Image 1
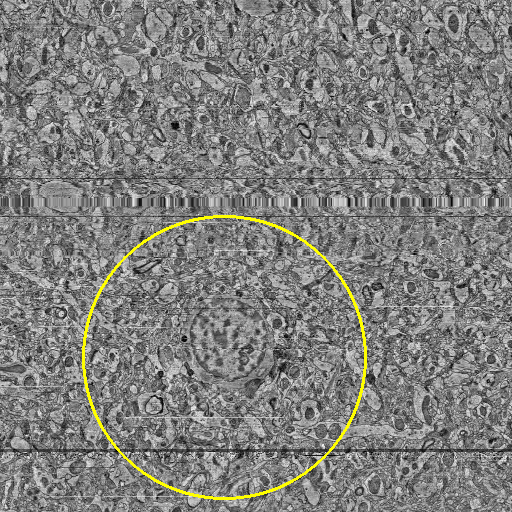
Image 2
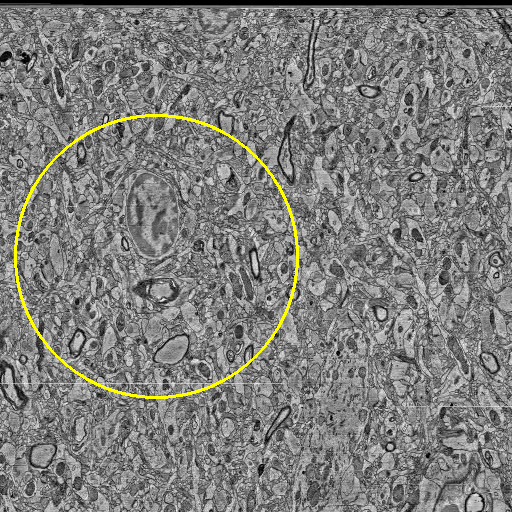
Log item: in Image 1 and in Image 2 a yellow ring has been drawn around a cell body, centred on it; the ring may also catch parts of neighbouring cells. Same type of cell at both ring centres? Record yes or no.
no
